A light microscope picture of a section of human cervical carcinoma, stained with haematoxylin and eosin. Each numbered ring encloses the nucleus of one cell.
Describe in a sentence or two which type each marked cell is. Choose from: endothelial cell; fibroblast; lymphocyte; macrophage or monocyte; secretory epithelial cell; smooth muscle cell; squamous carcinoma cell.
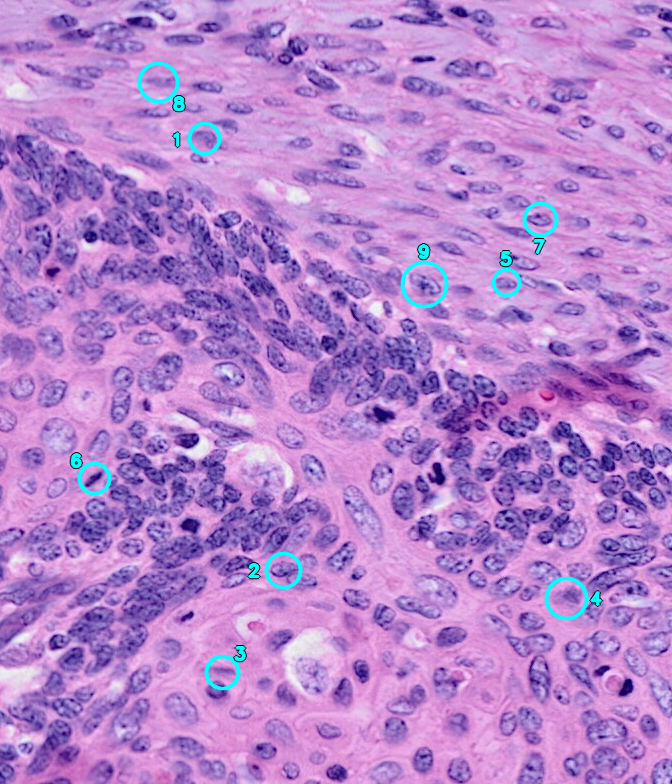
Cell 1 is a smooth muscle cell, cell 2 is a squamous carcinoma cell, cell 3 is a squamous carcinoma cell, cell 4 is a squamous carcinoma cell, cell 5 is a smooth muscle cell, cell 6 is a squamous carcinoma cell, cell 7 is a smooth muscle cell, cell 8 is a smooth muscle cell and cell 9 is a smooth muscle cell.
